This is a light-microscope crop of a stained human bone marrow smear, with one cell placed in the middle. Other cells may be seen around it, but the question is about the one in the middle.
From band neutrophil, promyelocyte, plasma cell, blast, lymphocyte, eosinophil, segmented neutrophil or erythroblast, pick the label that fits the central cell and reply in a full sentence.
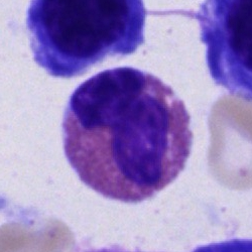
The identification for the central cell is an eosinophil.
